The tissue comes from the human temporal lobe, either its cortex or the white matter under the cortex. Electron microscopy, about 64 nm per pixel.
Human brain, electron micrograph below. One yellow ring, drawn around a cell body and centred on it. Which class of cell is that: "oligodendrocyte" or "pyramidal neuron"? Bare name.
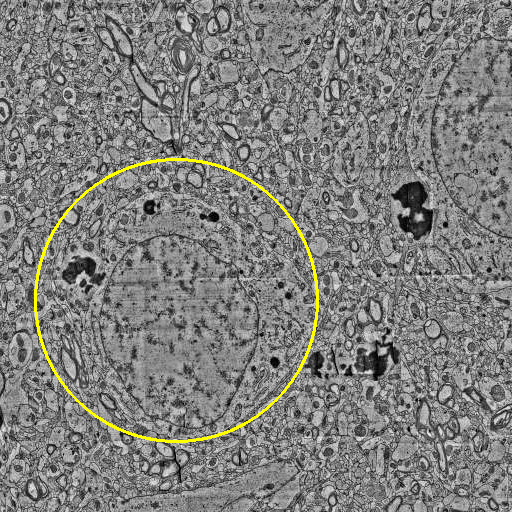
pyramidal neuron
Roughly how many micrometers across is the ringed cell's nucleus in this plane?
In this plane the nucleus measures roughly 13 by 10 micrometers.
